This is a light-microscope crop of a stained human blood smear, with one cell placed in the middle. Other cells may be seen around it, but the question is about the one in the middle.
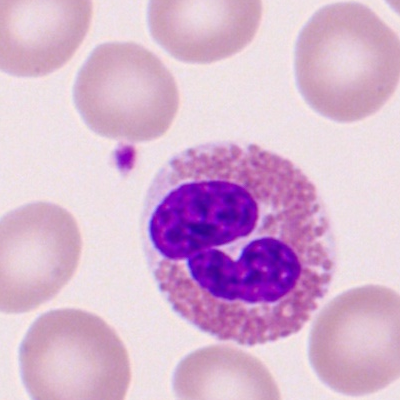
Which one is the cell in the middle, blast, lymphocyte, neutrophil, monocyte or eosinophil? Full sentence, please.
The central cell, amid any neighbouring cells, is an eosinophil.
